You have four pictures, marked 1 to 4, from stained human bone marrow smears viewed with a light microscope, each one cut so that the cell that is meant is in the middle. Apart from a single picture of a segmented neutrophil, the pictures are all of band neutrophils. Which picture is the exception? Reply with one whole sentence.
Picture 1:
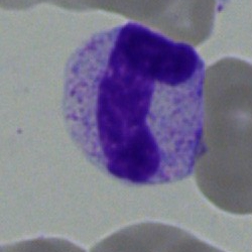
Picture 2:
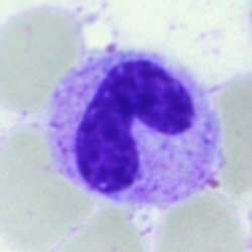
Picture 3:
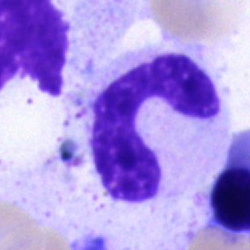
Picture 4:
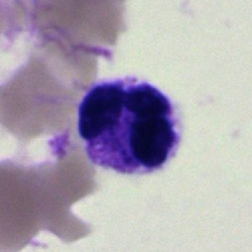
Picture 4 shows the segmented neutrophil.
